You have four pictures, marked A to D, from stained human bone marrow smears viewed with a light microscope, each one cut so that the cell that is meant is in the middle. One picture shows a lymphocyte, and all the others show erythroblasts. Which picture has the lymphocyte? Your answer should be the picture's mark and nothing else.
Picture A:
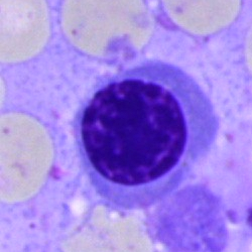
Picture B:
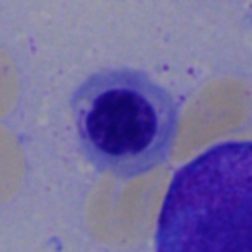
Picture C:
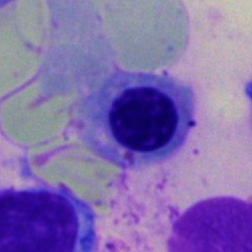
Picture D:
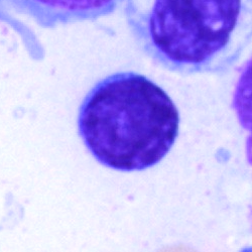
D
